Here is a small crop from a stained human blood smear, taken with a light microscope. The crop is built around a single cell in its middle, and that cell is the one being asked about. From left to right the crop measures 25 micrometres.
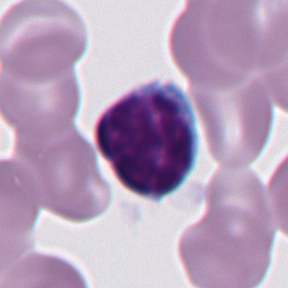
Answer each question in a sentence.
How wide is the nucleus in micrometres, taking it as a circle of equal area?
The diameter of the nucleus comes to about 8 micrometres.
